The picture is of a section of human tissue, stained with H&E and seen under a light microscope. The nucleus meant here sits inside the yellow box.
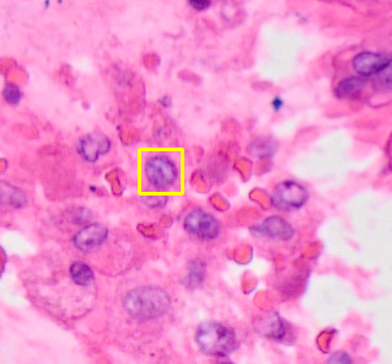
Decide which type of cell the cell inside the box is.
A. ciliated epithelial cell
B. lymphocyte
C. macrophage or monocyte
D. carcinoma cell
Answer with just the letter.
C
